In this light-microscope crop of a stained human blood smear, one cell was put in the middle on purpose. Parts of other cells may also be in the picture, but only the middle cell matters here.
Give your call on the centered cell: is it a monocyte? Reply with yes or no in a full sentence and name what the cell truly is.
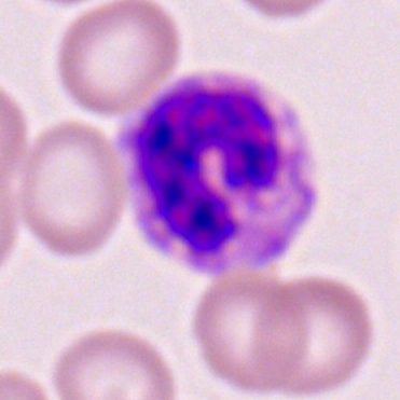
No, the centrally placed cell is a band neutrophil, not a monocyte.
